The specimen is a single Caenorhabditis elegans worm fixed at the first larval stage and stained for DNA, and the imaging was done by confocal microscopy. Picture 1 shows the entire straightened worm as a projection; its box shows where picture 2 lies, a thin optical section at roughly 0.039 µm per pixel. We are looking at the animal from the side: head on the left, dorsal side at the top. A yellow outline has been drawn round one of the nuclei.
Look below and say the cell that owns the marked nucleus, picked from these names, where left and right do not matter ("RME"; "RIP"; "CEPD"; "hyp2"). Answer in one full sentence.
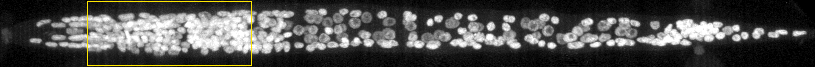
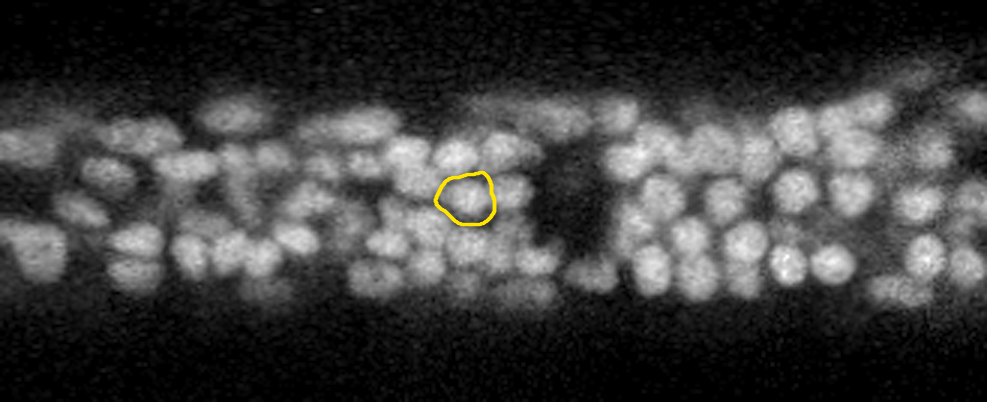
It belongs to RIP, a neuron.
